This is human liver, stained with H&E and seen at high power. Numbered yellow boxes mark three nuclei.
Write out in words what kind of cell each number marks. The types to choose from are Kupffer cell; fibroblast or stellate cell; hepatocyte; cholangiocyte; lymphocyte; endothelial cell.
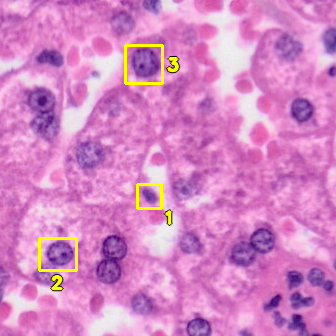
Cell 1 is a lymphocyte, cell 2 is a hepatocyte and cell 3 is a hepatocyte.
